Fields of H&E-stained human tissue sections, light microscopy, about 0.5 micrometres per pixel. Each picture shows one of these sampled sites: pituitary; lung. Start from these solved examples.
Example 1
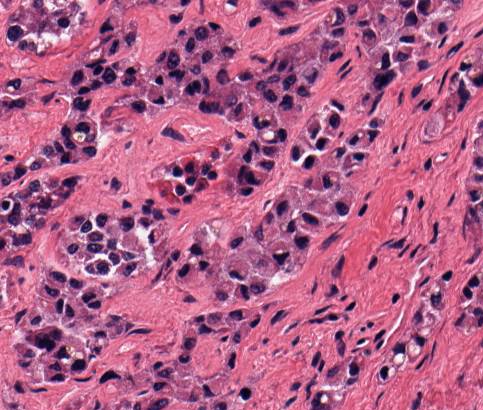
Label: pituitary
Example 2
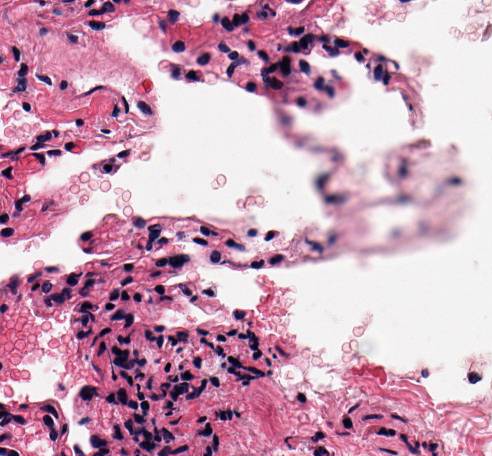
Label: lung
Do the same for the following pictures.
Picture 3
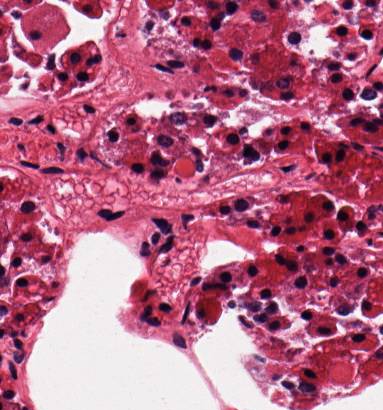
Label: pituitary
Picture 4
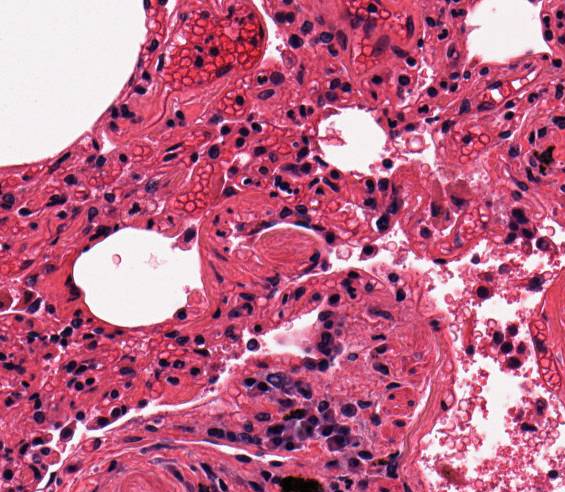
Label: lung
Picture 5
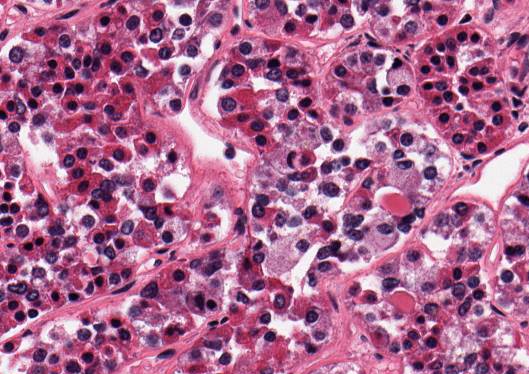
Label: pituitary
